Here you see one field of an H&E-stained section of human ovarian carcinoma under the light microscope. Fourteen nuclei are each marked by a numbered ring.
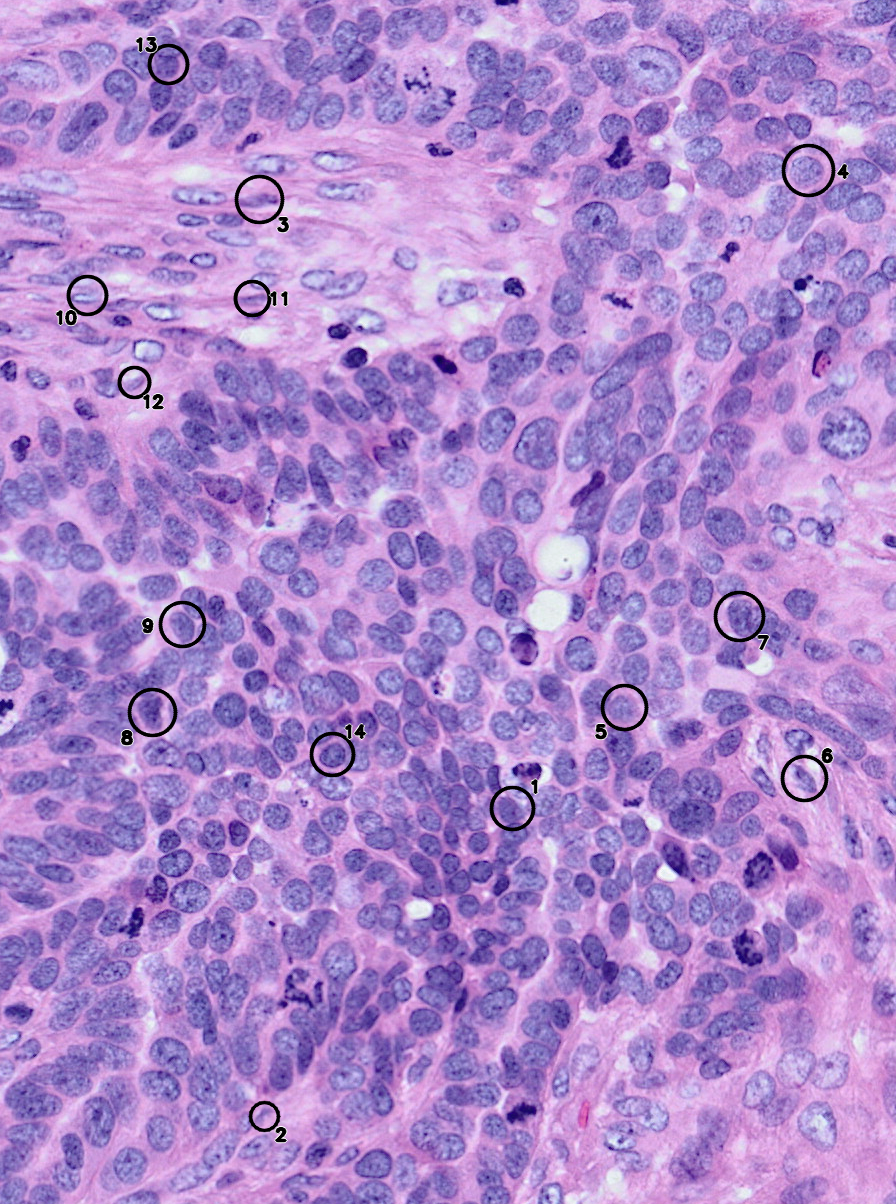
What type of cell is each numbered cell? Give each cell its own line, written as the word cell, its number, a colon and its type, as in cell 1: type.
cell 1: carcinoma cell
cell 2: fibroblast
cell 3: fibroblast
cell 4: carcinoma cell
cell 5: carcinoma cell
cell 6: fibroblast
cell 7: carcinoma cell
cell 8: carcinoma cell
cell 9: carcinoma cell
cell 10: fibroblast
cell 11: fibroblast
cell 12: fibroblast
cell 13: carcinoma cell
cell 14: carcinoma cell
